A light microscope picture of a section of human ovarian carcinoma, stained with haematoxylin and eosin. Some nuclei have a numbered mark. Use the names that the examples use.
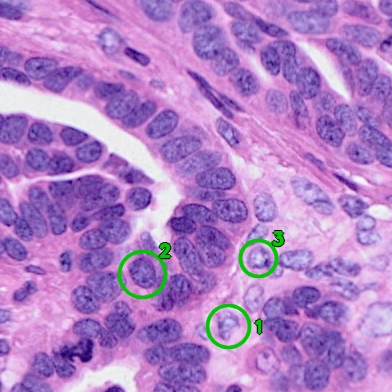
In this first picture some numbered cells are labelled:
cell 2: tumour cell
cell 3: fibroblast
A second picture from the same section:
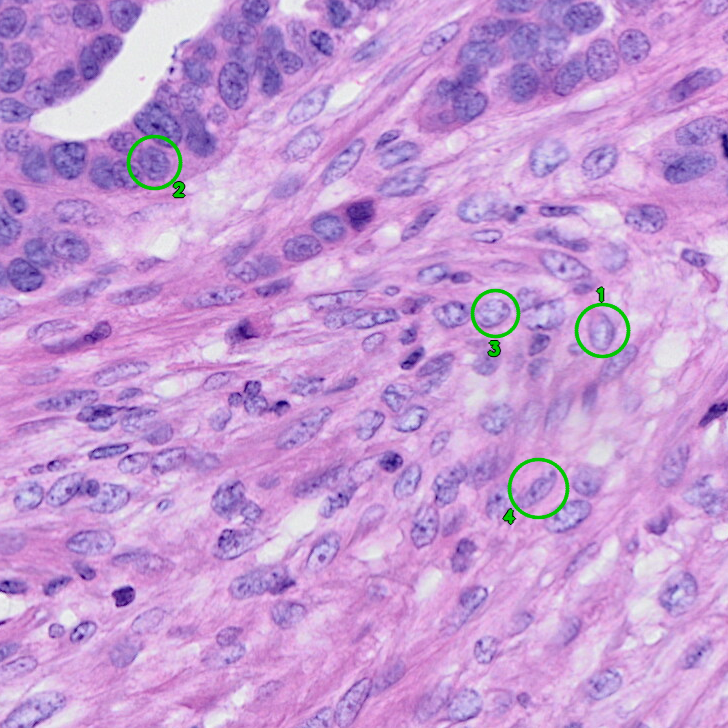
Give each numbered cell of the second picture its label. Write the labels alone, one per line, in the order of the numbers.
fibroblast
tumour cell
fibroblast
fibroblast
